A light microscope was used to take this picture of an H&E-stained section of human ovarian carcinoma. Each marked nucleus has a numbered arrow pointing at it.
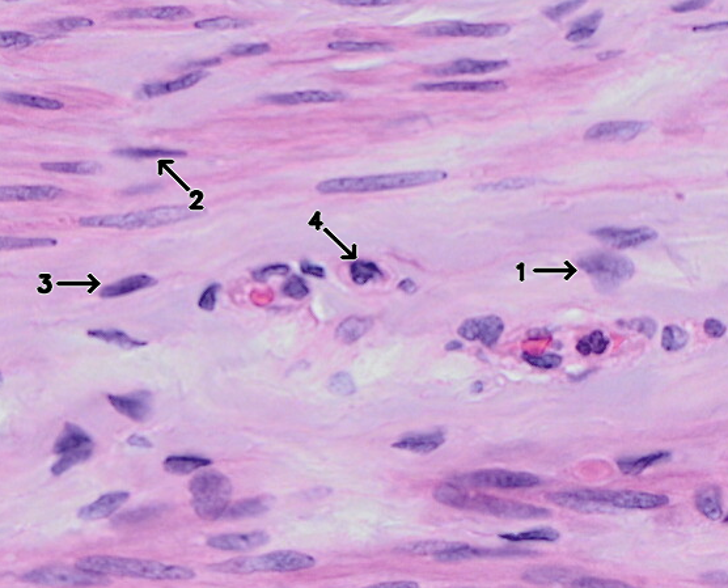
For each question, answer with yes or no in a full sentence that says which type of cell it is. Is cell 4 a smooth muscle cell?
No, cell 4 does not represent a smooth muscle cell; it represents a lymphocyte.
